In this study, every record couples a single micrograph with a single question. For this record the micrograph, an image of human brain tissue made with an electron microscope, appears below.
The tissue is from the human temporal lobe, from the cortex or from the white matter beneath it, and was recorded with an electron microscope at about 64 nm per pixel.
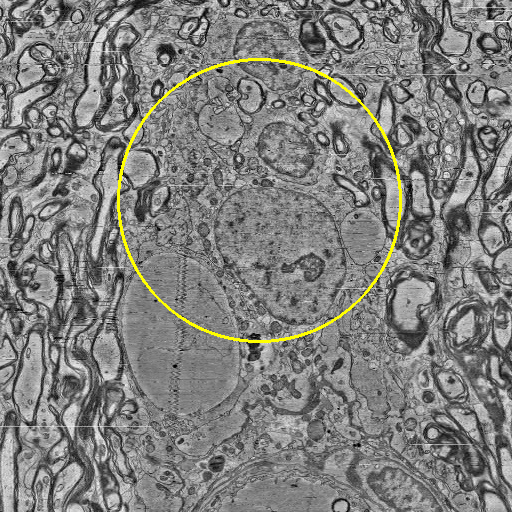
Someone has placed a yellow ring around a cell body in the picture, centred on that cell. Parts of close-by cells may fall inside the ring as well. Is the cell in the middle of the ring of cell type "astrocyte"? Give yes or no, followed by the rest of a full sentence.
Yes, the cell centred in the ring shown in the picture does have that cell type.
